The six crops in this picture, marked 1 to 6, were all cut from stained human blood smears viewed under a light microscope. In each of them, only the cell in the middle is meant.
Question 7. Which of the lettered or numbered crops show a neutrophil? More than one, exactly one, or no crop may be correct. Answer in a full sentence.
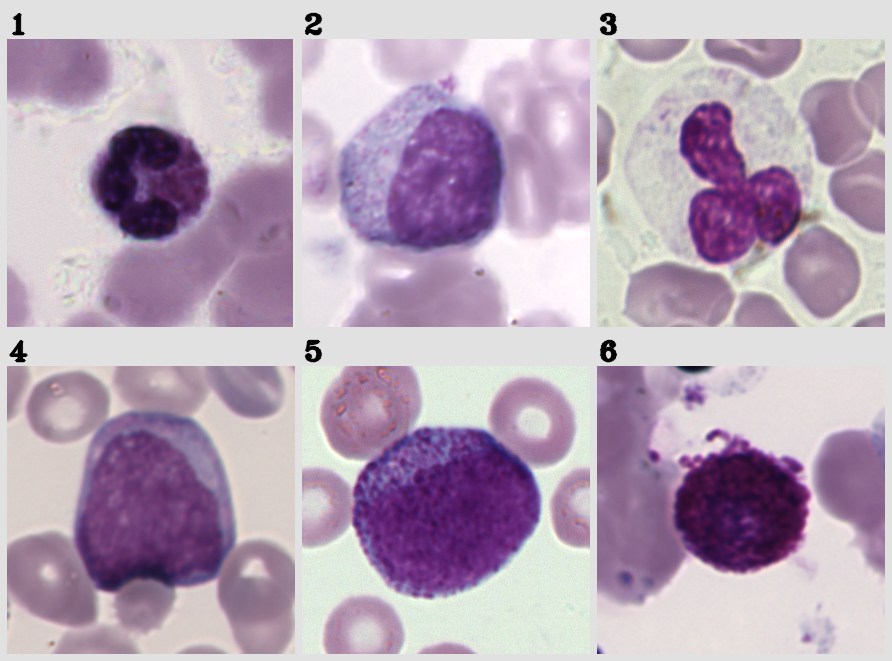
Every crop except crop 3 lacks a neutrophil.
